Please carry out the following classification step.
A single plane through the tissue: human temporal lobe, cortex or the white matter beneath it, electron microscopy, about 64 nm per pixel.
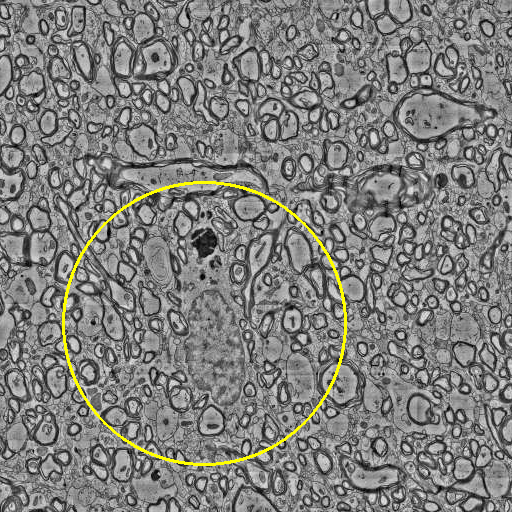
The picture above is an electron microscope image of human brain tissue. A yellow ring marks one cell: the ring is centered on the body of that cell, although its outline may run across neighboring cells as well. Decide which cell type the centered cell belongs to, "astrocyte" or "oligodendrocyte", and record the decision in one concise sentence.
The cell centered in the yellow ring is an oligodendrocyte.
